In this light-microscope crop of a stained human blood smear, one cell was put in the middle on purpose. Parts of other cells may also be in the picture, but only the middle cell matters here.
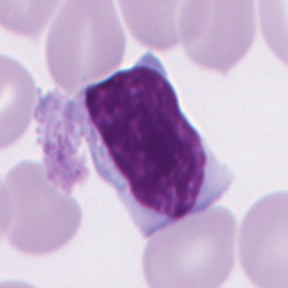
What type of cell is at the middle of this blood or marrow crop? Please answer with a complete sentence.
Seen at the centre of the crop is a large granular lymphocyte.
